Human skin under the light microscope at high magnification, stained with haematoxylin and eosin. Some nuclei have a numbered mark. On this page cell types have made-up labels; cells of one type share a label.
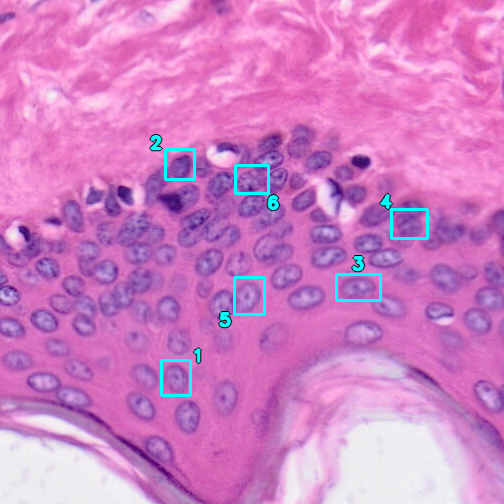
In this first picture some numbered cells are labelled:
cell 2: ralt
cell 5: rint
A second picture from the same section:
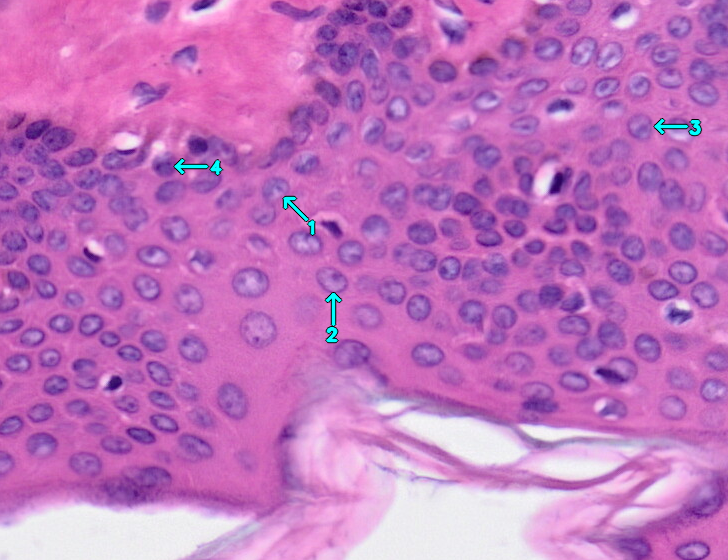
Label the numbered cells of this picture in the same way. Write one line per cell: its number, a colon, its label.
1: rint
2: rint
3: rint
4: ralt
